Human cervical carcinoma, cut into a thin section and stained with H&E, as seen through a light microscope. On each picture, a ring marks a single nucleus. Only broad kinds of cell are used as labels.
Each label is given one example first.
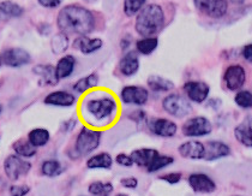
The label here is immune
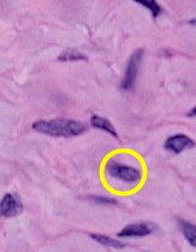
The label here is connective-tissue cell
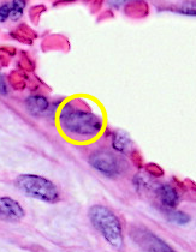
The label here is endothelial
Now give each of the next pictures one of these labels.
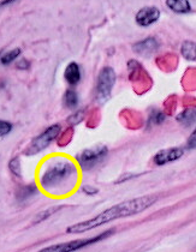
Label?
endothelial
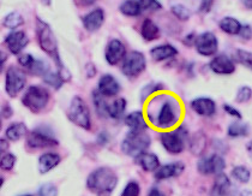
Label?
immune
